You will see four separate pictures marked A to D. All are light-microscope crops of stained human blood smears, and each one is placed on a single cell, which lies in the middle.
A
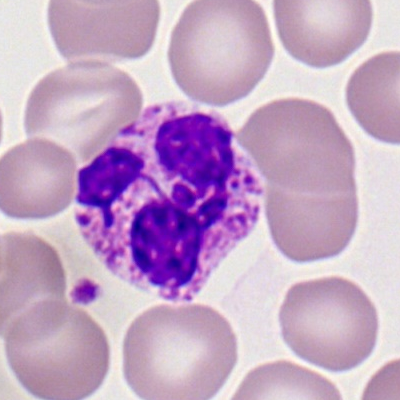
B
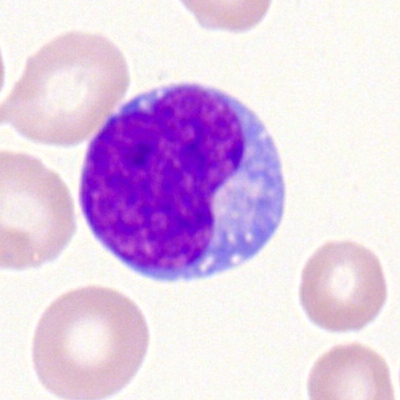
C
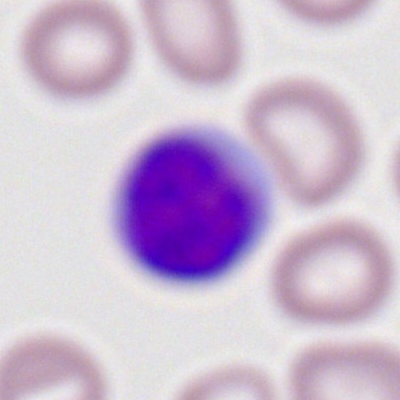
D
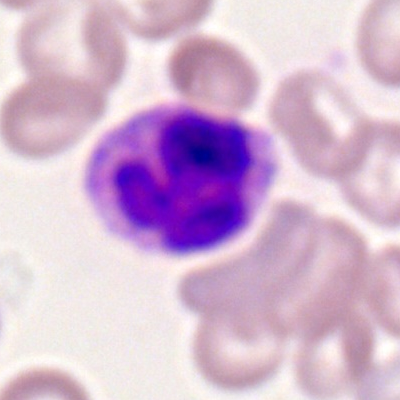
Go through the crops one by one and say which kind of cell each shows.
A: basophil
B: myeloblast
C: lymphocyte
D: basophil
